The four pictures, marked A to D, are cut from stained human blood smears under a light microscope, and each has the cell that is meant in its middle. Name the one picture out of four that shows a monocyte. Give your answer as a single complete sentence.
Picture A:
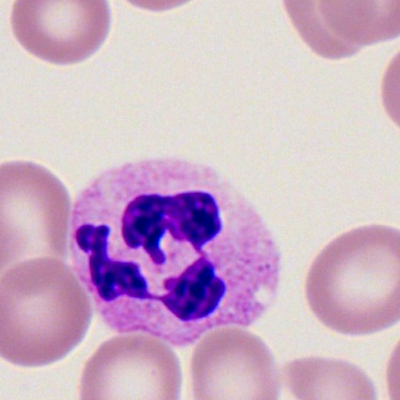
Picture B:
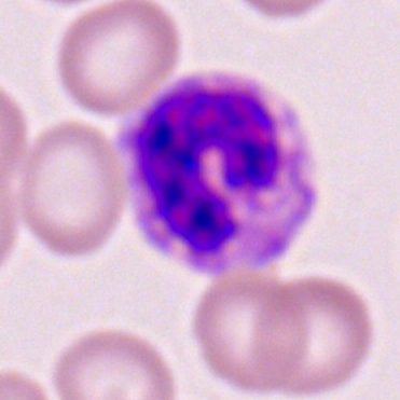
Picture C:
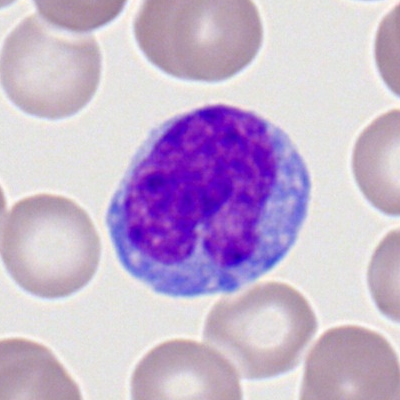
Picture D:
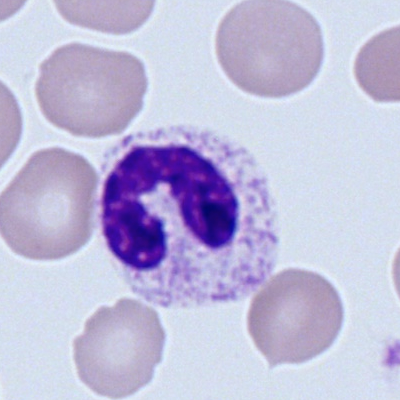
The picture with the monocyte is C.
